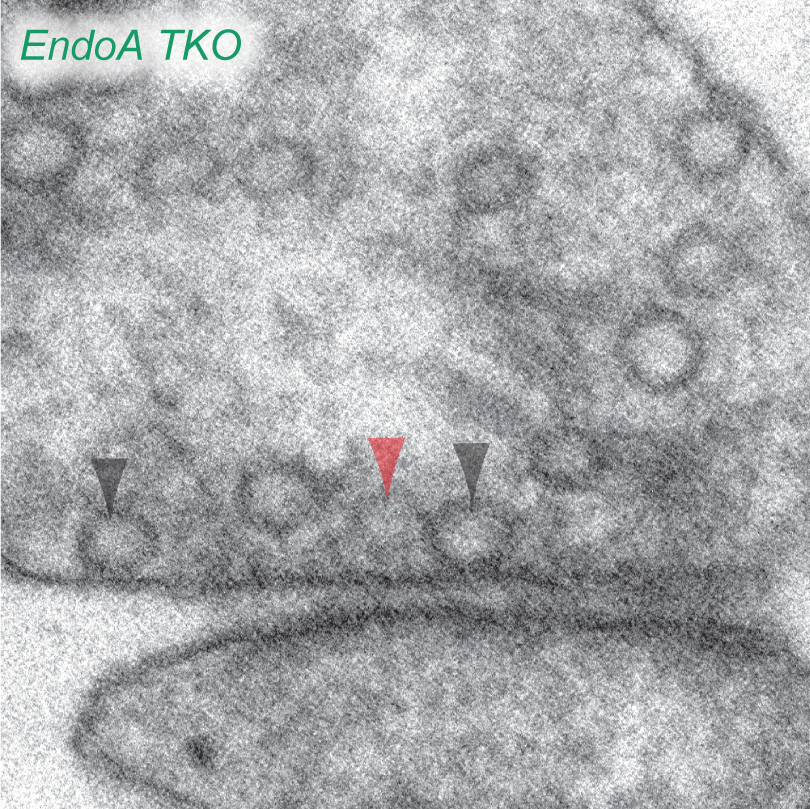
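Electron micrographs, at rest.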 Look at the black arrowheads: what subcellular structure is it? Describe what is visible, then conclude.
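Docked vesicle. The black arrowheads point to small round vesicles. The vesicles touch the presynaptic membrane opposite the cleft.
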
